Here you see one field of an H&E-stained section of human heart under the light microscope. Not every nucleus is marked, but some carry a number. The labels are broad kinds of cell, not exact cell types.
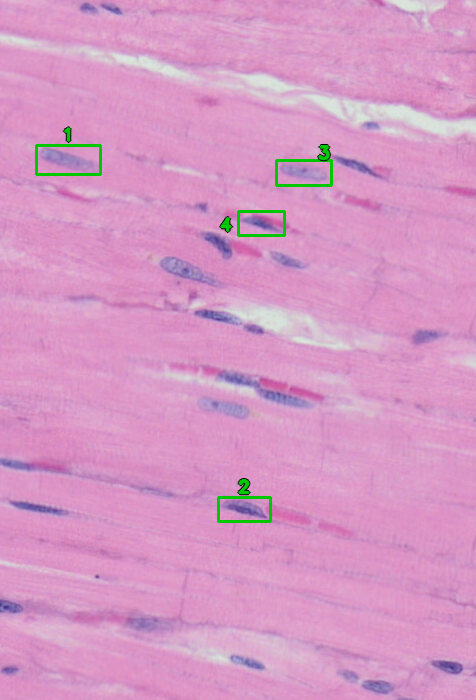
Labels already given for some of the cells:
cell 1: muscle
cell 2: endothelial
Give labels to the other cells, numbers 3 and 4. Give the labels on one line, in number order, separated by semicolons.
muscle; endothelial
